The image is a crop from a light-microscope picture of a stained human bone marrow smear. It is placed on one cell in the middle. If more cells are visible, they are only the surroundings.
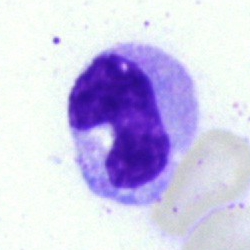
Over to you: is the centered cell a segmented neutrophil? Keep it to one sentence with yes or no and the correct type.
No, it is a band neutrophil that sits in the middle, not a segmented neutrophil.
